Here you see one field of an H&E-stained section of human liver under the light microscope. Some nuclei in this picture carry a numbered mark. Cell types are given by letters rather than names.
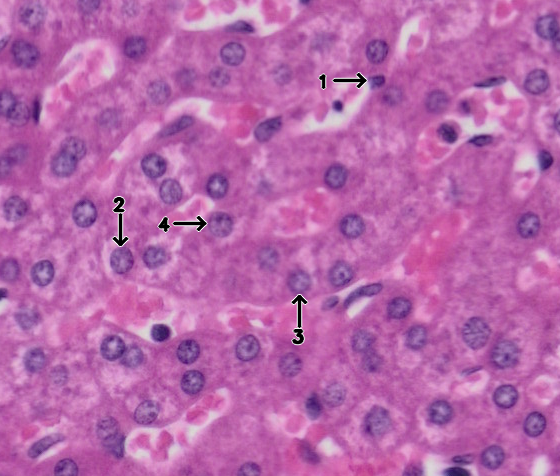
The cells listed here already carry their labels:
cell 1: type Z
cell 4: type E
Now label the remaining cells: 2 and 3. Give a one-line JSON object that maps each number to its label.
{"2": "type E", "3": "type E"}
